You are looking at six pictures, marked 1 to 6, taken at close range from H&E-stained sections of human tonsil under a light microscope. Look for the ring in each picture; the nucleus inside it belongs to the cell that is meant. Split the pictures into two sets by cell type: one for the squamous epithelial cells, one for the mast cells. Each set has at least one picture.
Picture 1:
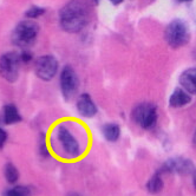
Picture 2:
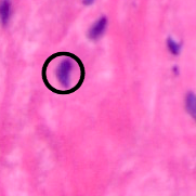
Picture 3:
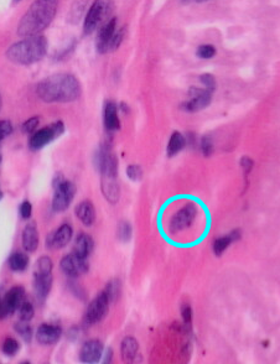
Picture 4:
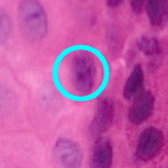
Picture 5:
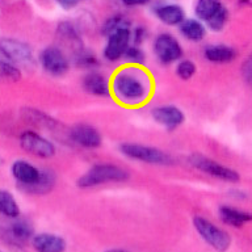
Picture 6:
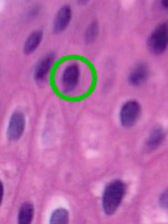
1: mast cell
2: mast cell
3: mast cell
4: squamous epithelial cell
5: mast cell
6: squamous epithelial cell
